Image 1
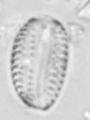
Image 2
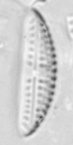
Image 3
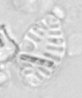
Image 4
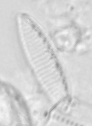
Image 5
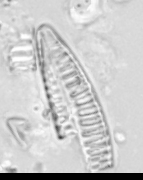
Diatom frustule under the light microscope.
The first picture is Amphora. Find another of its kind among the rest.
Picture 2.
